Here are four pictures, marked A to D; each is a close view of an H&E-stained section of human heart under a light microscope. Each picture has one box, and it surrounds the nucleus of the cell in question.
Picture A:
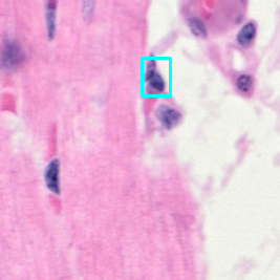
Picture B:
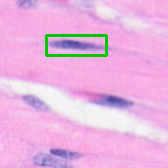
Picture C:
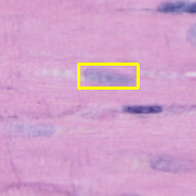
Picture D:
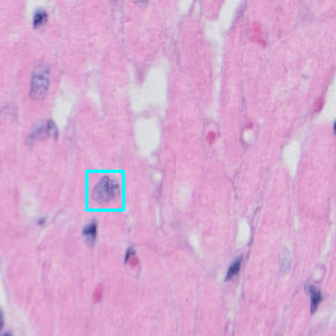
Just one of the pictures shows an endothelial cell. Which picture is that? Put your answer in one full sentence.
The endothelial cell is the one in picture B.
